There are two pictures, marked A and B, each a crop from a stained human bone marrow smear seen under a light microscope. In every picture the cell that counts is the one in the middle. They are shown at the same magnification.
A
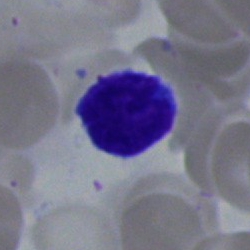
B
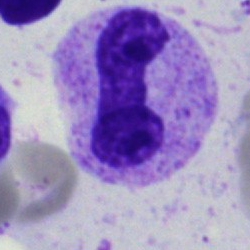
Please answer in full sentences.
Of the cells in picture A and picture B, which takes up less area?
Smaller is the cell in picture A, and the other is about 3 times as large in area.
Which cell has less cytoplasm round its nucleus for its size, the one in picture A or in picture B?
In picture A the nucleus takes up the larger part of its cell.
